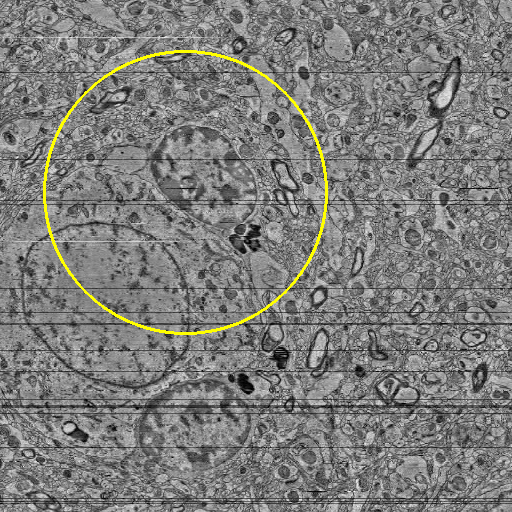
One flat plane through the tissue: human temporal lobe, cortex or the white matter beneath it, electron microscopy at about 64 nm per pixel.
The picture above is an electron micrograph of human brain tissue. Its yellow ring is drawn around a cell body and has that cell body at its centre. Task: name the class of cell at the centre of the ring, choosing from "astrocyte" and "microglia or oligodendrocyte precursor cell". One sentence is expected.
The ring surrounds the body of a microglial cell or oligodendrocyte precursor cell.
